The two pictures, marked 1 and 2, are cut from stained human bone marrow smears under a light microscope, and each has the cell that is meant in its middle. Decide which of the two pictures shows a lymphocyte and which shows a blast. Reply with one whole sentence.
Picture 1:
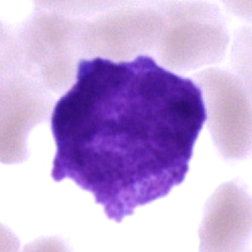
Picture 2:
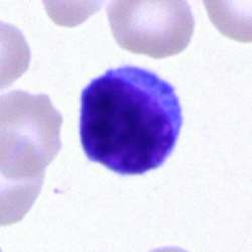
The cell in picture 1 is a blast, and the one in picture 2 is a lymphocyte.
